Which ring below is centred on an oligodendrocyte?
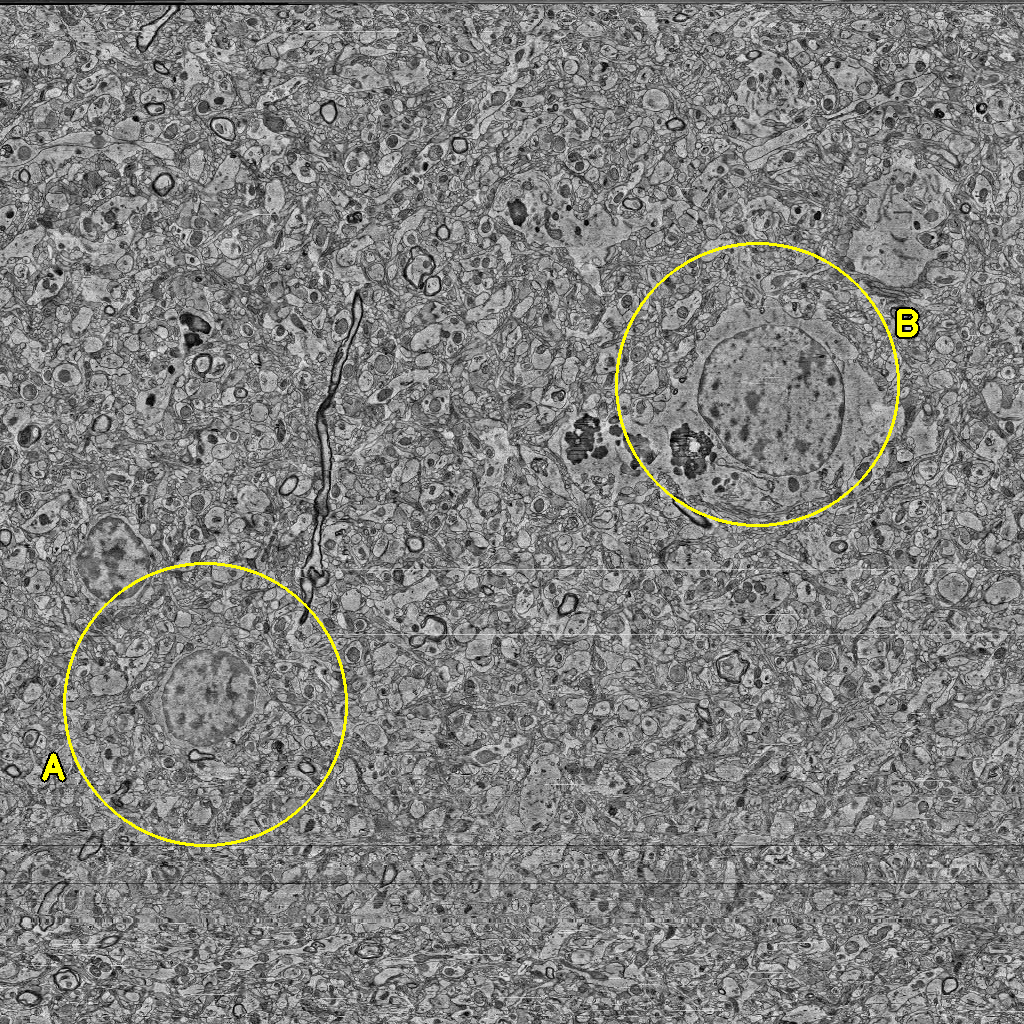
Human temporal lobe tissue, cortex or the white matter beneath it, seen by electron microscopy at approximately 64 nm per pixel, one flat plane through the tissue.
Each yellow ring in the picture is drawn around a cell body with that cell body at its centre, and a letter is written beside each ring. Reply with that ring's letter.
A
